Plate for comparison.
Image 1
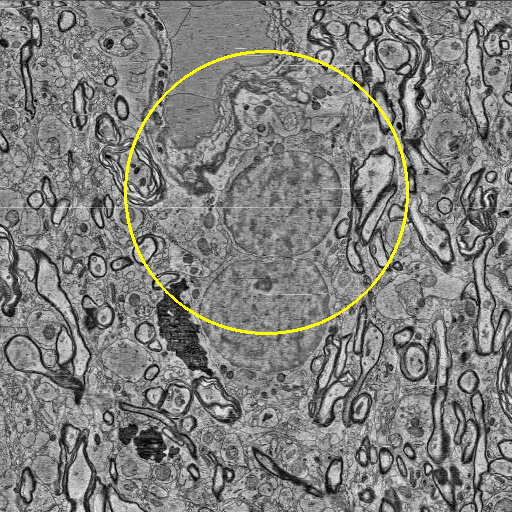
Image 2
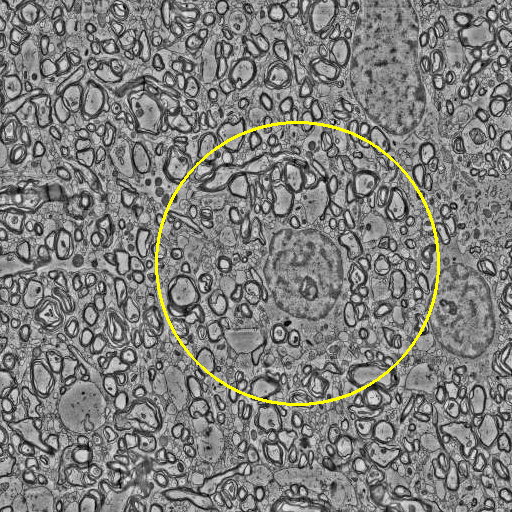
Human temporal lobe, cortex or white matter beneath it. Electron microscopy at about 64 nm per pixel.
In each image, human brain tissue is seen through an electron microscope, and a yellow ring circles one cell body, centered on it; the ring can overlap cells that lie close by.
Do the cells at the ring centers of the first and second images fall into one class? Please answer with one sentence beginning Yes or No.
Yes, the first and second images show a single class of cell at the ring centers.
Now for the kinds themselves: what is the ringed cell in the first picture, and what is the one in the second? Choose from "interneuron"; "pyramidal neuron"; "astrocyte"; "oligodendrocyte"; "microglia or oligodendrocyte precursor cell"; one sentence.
Both cells are the same kind, each one being an oligodendrocyte.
